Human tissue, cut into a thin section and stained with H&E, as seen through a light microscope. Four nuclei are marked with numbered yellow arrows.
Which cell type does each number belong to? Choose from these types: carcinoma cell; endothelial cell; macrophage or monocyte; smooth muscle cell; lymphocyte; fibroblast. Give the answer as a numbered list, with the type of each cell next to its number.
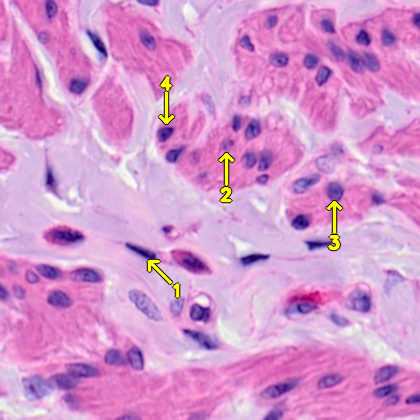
1. fibroblast
2. smooth muscle cell
3. smooth muscle cell
4. smooth muscle cell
